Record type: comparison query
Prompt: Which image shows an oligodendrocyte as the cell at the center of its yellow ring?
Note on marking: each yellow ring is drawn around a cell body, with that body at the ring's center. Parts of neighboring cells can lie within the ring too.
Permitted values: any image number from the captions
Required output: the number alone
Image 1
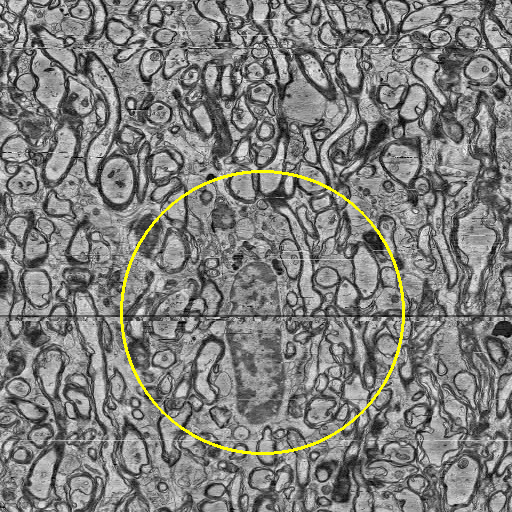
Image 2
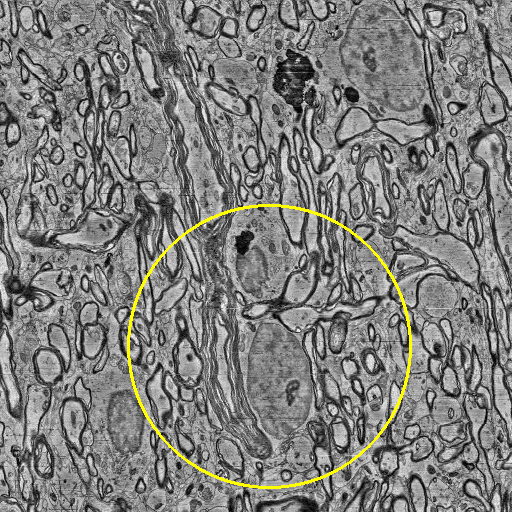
2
